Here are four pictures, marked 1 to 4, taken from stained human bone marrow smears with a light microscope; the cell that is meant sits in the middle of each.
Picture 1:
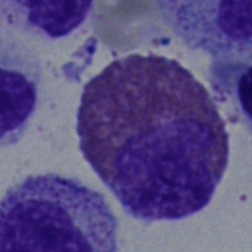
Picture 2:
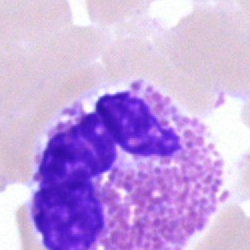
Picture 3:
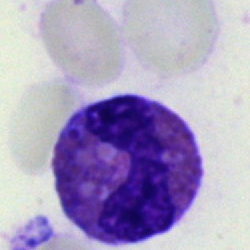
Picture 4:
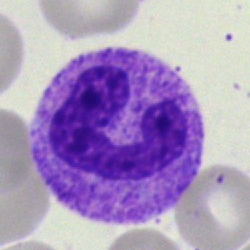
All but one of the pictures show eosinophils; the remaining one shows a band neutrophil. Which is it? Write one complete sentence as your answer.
It is picture 4 that shows the band neutrophil.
